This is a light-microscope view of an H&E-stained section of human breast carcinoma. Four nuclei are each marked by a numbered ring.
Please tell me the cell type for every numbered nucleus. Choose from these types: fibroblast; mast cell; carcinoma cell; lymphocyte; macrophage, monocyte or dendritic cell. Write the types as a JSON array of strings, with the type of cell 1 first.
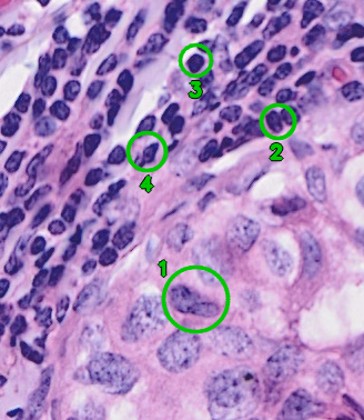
["carcinoma cell", "lymphocyte", "lymphocyte", "lymphocyte"]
